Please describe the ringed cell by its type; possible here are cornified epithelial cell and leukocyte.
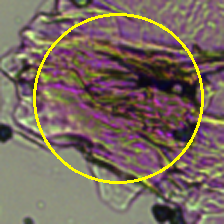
The yellow ring marks a cornified epithelial cell.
